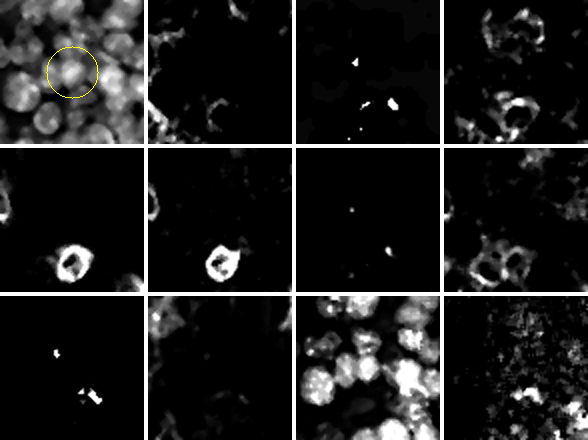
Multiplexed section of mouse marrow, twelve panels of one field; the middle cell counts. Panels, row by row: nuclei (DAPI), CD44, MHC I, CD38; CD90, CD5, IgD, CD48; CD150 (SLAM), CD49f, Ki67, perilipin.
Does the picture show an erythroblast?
Yes.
